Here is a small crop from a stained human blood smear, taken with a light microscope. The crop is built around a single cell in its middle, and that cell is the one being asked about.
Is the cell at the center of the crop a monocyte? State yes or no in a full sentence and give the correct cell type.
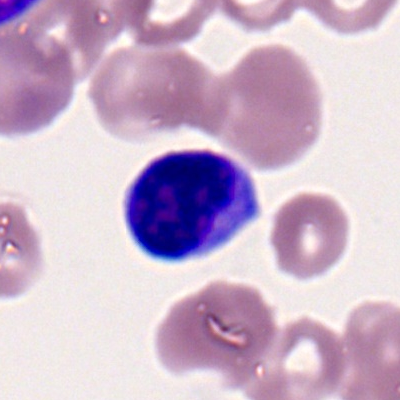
No, the central cell is classed as a lymphocyte, not a monocyte.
